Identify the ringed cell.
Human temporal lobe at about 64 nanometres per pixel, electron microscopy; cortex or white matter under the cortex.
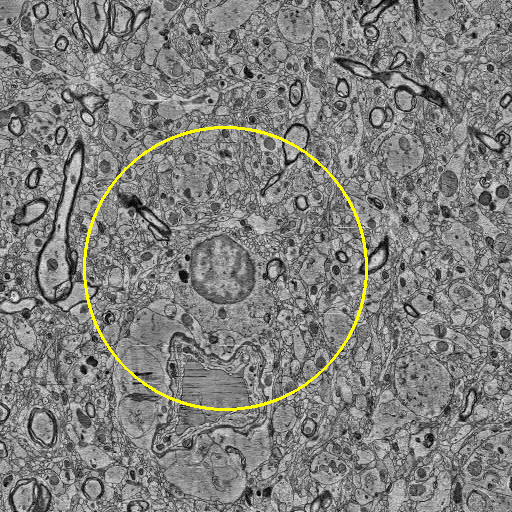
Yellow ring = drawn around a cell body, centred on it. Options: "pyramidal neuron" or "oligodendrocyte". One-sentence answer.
What the ring is centred on is an oligodendrocyte.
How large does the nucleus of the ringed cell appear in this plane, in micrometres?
Roughly 4 micrometers across in this plane.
